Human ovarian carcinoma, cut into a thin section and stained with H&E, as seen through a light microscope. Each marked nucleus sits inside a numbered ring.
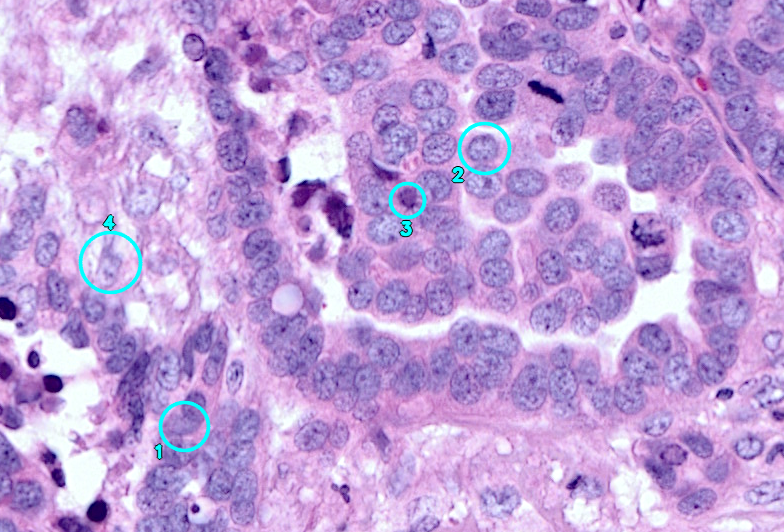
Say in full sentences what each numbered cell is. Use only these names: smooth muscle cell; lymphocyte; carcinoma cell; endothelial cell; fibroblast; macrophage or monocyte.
Cell 1 is a carcinoma cell, cell 2 is a carcinoma cell, cell 3 is a carcinoma cell and cell 4 is a fibroblast.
